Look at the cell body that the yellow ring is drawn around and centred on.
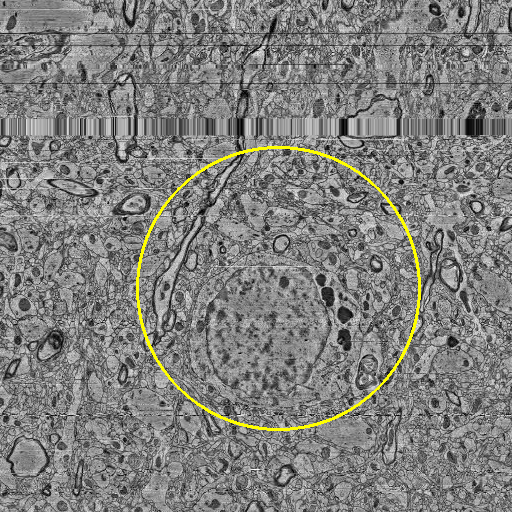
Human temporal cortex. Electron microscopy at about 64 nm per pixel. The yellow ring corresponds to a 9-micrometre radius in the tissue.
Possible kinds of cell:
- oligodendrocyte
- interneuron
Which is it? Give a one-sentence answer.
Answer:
The centred cell body is that of an interneuron.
